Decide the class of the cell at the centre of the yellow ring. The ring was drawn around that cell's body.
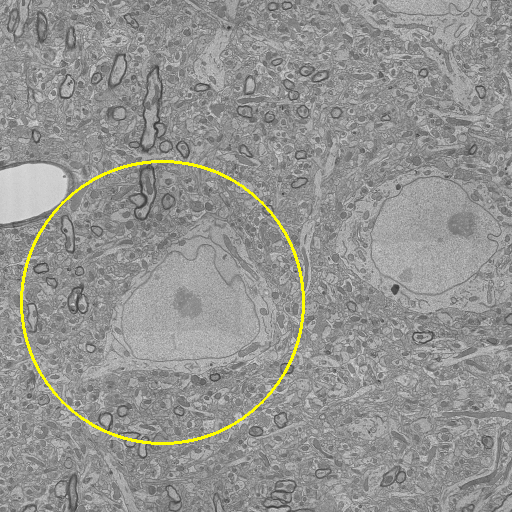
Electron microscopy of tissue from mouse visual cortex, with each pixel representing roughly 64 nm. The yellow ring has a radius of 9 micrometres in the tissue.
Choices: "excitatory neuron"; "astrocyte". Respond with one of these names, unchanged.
excitatory neuron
